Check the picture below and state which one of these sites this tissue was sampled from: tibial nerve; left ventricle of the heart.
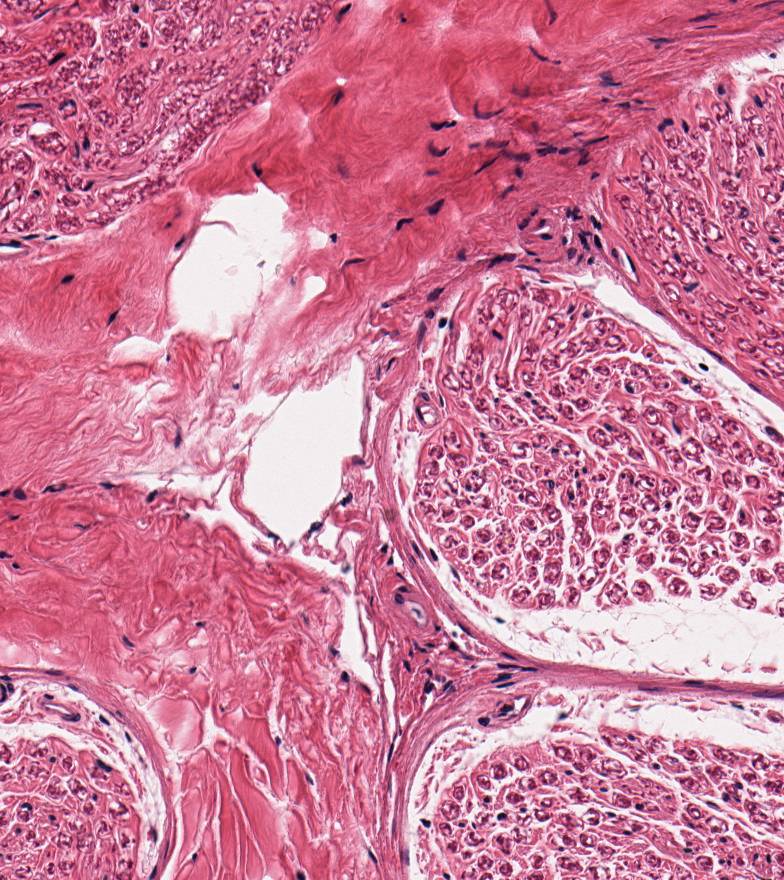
tibial nerve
